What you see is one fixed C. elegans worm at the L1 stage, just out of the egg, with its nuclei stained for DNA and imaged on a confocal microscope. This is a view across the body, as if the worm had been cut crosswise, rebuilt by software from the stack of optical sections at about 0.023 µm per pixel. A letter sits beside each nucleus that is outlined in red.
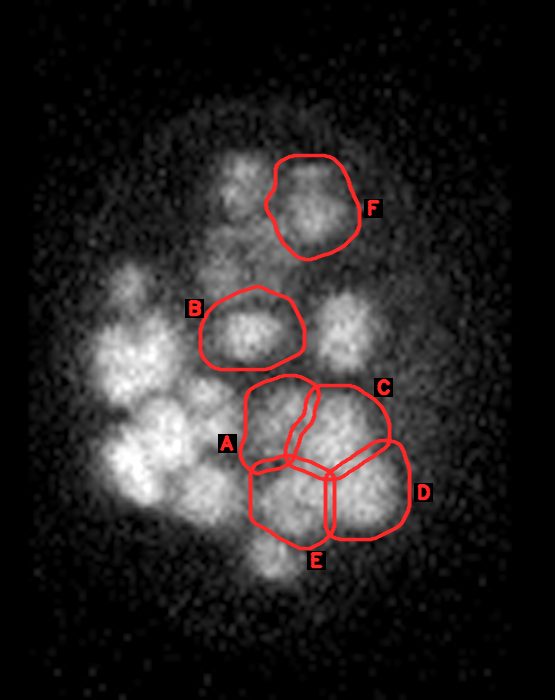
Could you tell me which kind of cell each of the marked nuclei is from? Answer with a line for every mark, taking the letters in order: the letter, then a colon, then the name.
A: pharyngeal marginal cell
B: pharyngeal marginal cell
C: neuron
D: neuron
E: neuron
F: body wall muscle cell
